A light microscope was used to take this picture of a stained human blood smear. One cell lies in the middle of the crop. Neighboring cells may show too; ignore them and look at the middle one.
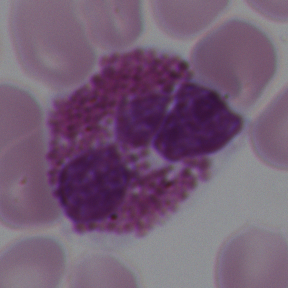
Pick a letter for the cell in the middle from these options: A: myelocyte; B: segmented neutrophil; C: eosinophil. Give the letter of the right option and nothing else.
C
